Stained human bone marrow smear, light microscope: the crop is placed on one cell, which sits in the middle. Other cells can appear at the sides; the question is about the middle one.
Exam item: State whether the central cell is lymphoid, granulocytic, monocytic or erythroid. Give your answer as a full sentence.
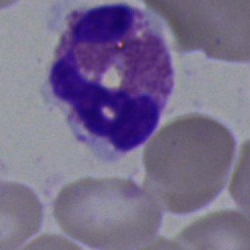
The cell in the middle of the crop belongs to the granulocytic lineage.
